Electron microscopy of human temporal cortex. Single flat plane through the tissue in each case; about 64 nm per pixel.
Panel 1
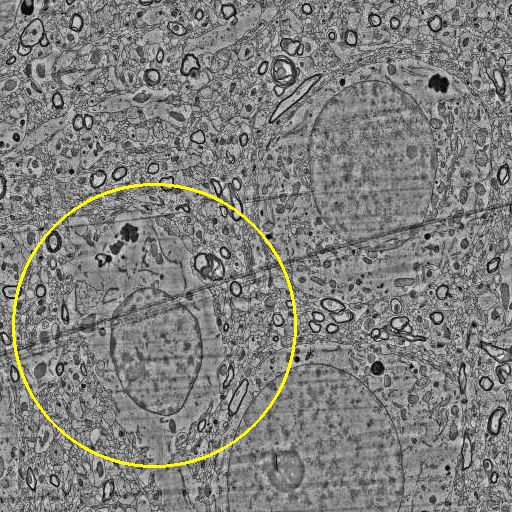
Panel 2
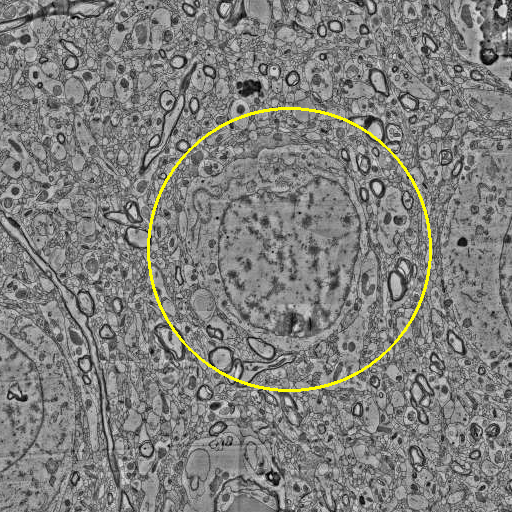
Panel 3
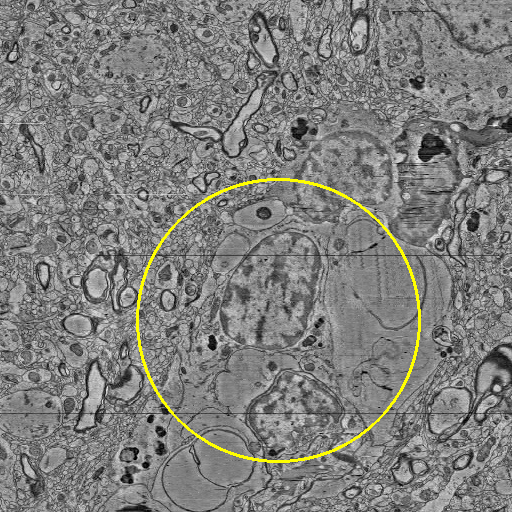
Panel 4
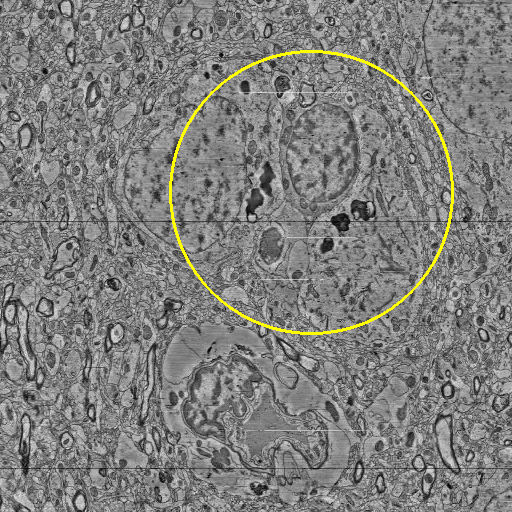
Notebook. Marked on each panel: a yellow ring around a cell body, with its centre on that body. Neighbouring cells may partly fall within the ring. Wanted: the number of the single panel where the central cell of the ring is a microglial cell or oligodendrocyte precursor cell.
3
